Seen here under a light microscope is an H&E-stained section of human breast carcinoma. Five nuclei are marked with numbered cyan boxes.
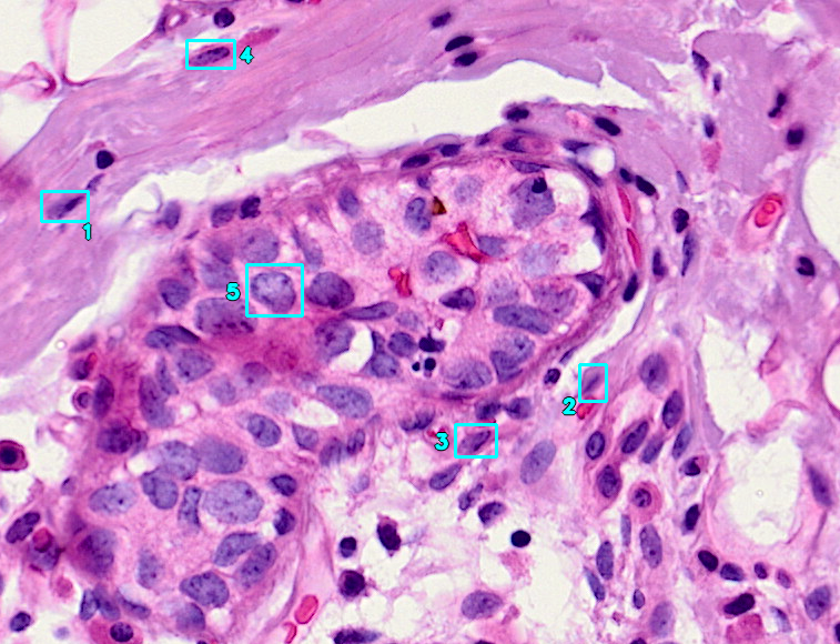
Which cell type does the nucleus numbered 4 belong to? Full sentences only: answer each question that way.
The nucleus labeled 4 belongs to a mast cell.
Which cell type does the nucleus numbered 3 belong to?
In the tissue shown, cell 3 is an endothelial cell.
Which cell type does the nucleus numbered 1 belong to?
Looking at the numbered marks, cell 1 is a fibroblast.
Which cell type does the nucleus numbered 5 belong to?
In this section, the cell tagged 5 is a carcinoma cell.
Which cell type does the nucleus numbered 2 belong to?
The cell carrying label 2 is identified as an endothelial cell.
